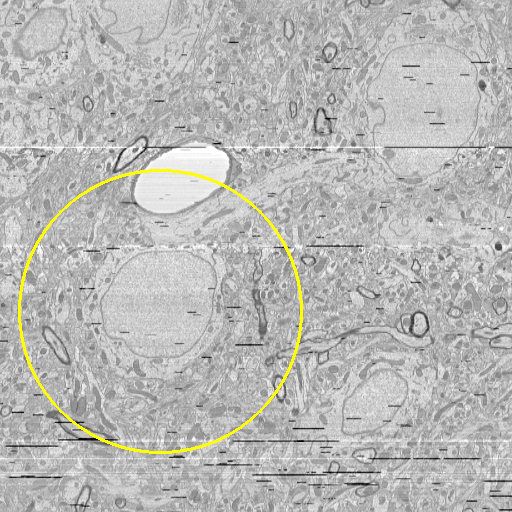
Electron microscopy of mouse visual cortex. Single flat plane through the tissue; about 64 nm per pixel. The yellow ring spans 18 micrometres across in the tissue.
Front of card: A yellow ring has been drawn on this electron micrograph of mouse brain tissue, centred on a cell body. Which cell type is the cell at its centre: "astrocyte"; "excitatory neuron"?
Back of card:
excitatory neuron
